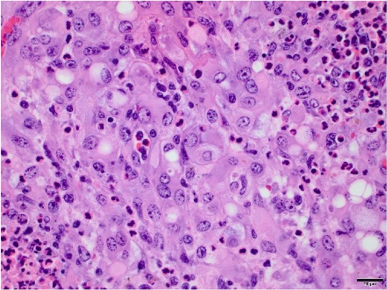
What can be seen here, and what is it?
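Sheets of large atypical epithelioid tumor cells fill the field, with abundant pink eosinophilic cytoplasm and large round to oval nuclei bearing prominent nucleoli. Some cells hold clear round vacuoles in their cytoplasm. Among and beside them, especially toward the right, lie many small inflammatory cells with dark, compact or lobed nuclei.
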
